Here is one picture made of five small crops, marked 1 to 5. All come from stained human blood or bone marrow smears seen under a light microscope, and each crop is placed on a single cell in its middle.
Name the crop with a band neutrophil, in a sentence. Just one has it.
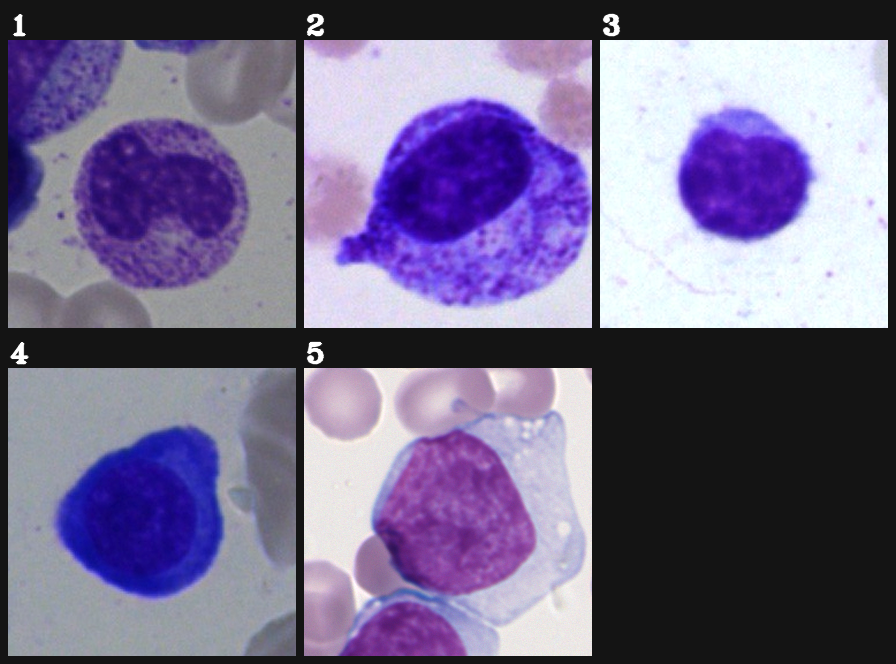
Among these crops, crop 1 holds a band neutrophil.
